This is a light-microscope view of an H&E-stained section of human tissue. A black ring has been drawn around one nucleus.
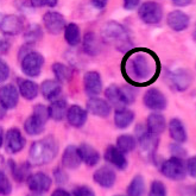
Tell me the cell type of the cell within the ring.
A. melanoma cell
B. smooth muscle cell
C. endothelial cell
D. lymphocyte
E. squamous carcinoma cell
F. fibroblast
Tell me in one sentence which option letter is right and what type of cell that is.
It is correct to say that the cell within the ring is a lymphocyte, as option D does.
